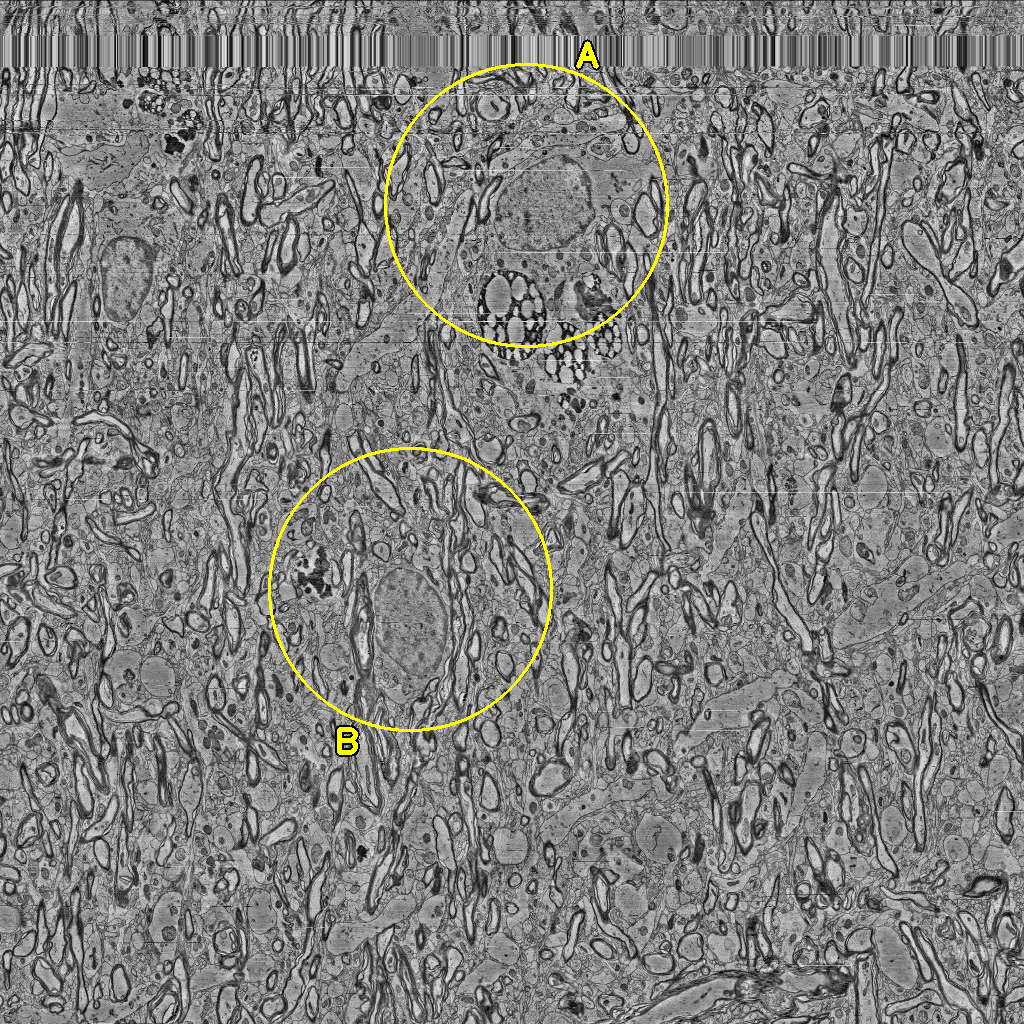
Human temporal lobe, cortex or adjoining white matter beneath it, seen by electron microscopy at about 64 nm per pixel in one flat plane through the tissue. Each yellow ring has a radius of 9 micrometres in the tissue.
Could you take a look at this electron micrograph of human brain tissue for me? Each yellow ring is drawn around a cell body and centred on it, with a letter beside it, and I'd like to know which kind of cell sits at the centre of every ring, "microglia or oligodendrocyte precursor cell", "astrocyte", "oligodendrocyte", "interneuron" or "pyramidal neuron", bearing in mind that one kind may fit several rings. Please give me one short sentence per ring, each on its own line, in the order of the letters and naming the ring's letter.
Ring A is centred on an astrocyte.
Ring B is centred on an oligodendrocyte.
